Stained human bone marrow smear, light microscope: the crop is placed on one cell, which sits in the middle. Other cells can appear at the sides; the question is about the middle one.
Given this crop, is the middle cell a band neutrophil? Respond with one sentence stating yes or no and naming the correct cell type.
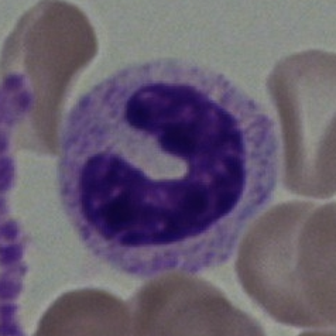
Yes, the cell shown at the crop's centre is a band neutrophil.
